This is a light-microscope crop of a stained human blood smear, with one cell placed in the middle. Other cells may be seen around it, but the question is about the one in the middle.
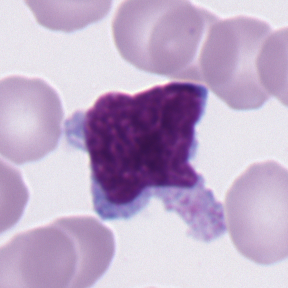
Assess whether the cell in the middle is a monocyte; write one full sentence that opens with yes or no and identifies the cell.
No, the central cell is counted as a large granular lymphocyte instead of a monocyte.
